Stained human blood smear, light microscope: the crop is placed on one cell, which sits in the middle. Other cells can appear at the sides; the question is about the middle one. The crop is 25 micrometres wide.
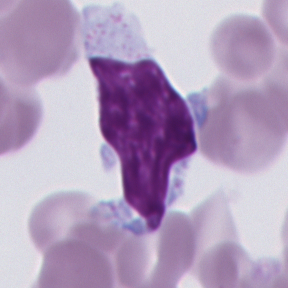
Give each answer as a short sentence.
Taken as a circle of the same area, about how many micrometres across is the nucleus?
About 10 micrometres: that is the diameter of the nucleus.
